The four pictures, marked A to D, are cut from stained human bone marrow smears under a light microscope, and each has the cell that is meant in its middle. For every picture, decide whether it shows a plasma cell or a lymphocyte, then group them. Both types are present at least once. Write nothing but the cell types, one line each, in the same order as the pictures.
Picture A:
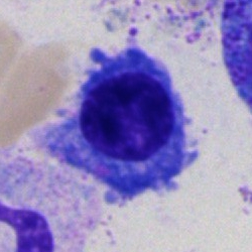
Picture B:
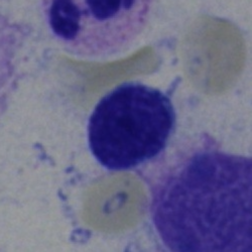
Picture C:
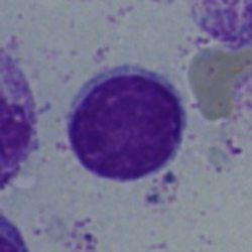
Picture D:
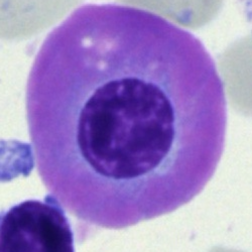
plasma cell
lymphocyte
lymphocyte
plasma cell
